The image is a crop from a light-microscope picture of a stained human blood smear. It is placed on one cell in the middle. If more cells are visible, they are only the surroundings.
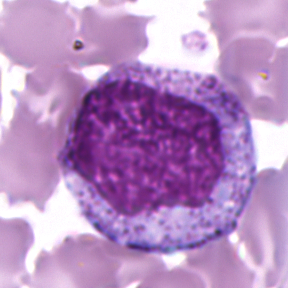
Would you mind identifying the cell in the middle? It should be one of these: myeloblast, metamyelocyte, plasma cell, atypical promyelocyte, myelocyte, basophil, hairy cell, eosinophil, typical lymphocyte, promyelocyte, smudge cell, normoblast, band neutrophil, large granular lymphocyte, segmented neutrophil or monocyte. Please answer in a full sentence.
This crop is built around a myelocyte at its centre.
